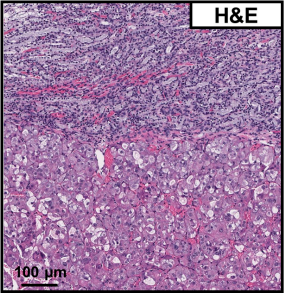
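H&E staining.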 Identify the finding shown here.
Mixed clear cell and eosinophilic histology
